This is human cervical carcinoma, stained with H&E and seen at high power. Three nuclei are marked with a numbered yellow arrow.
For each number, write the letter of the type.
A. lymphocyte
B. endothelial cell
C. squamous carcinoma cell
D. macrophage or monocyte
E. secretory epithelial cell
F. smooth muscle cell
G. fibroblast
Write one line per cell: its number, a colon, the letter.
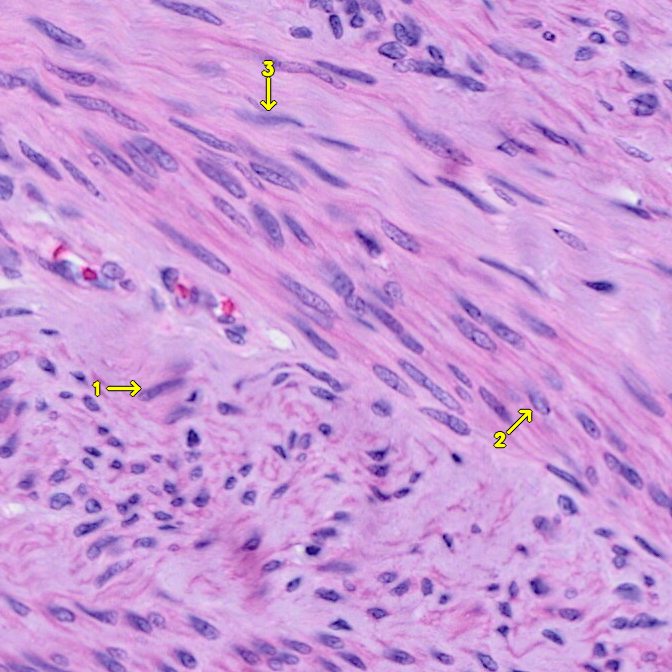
1: F
2: F
3: G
